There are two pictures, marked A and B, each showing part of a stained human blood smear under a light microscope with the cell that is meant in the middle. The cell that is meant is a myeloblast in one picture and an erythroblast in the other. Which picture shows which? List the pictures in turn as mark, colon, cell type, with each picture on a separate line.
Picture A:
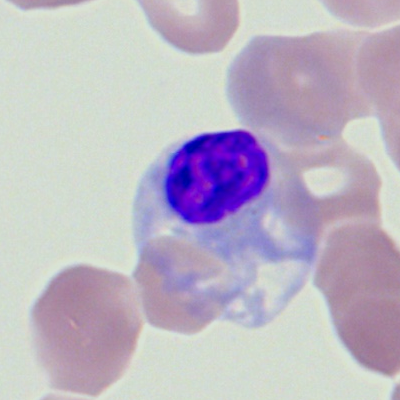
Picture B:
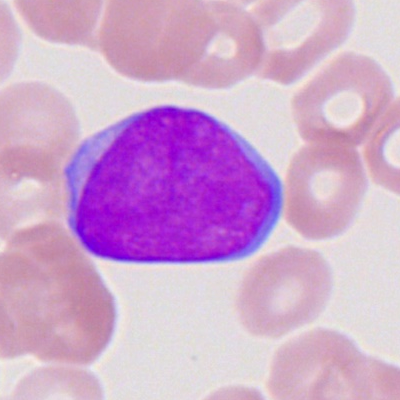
A: erythroblast
B: myeloblast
